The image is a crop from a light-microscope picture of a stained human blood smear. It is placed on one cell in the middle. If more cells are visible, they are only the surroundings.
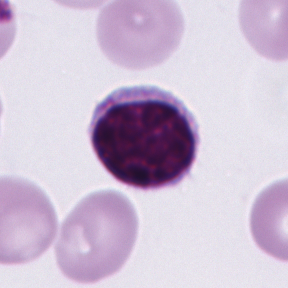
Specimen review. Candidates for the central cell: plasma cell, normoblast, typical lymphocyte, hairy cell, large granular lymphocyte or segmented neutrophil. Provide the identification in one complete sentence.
This crop is built around a large granular lymphocyte at its centre.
